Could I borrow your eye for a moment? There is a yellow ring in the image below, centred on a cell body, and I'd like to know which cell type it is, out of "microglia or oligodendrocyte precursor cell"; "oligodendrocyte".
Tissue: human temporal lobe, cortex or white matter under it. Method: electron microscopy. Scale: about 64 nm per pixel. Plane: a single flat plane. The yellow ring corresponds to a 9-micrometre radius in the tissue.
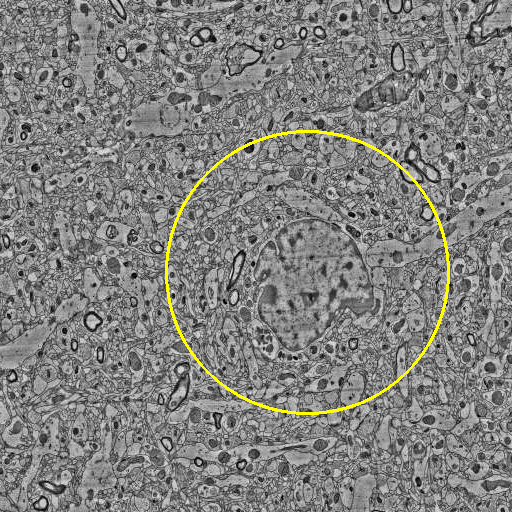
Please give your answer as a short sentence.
The cell body at the centre is that of a microglial cell or oligodendrocyte precursor cell.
